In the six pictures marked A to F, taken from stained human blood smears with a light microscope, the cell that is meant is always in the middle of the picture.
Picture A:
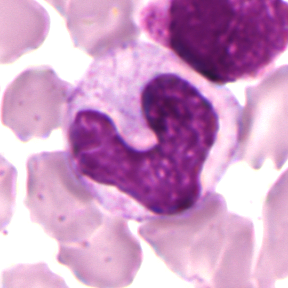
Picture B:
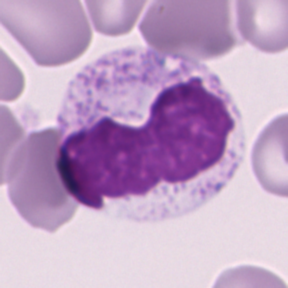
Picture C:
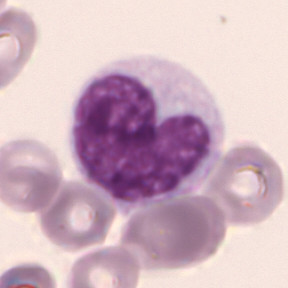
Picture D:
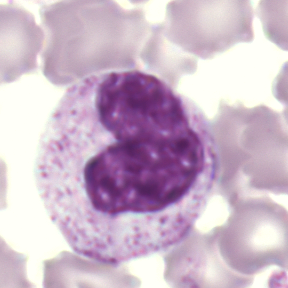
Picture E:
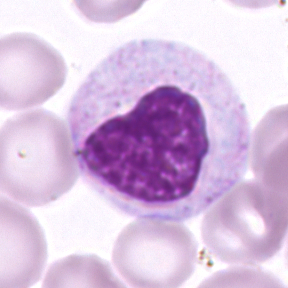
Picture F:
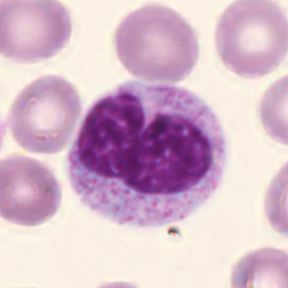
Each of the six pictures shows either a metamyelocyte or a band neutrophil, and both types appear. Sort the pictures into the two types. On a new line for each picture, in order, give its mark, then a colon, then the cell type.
A: band neutrophil
B: band neutrophil
C: metamyelocyte
D: metamyelocyte
E: metamyelocyte
F: band neutrophil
